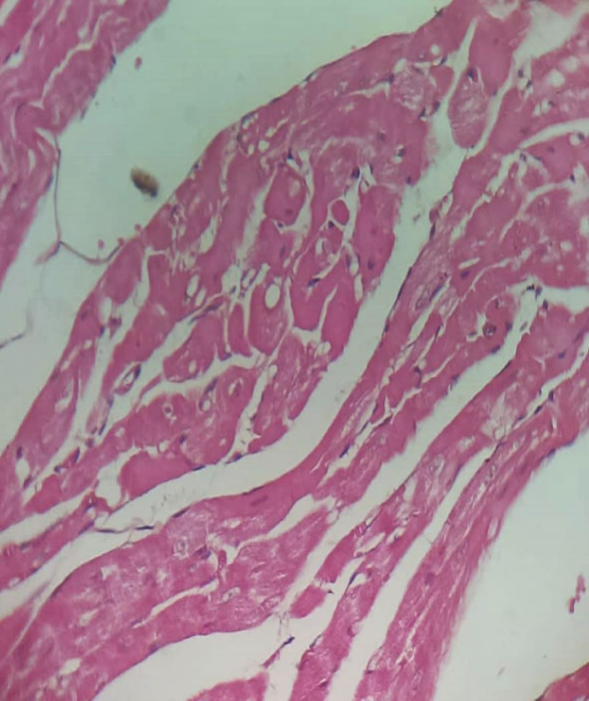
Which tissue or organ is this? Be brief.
Heart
